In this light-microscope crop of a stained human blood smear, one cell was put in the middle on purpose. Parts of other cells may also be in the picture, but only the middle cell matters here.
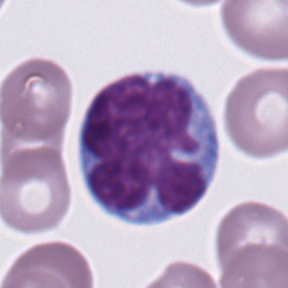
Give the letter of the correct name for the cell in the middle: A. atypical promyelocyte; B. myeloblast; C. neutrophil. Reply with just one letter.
B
